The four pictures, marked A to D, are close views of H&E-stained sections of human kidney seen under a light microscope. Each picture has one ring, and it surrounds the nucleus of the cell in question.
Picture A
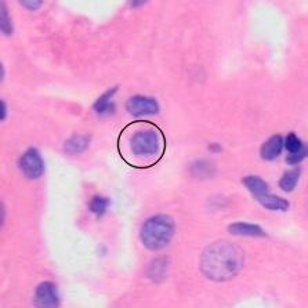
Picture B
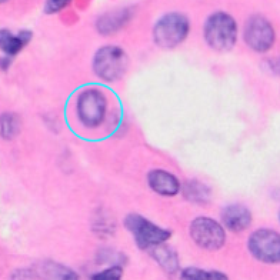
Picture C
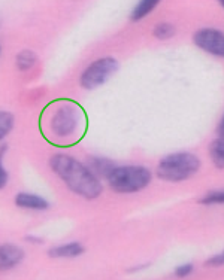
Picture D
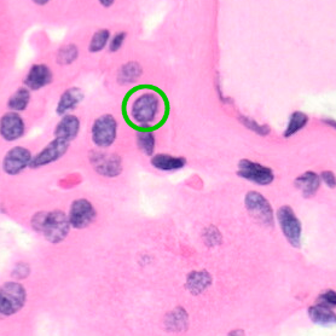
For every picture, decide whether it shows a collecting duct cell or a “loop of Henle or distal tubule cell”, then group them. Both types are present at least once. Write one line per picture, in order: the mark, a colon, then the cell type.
A: loop of Henle or distal tubule cell
B: collecting duct cell
C: collecting duct cell
D: collecting duct cell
